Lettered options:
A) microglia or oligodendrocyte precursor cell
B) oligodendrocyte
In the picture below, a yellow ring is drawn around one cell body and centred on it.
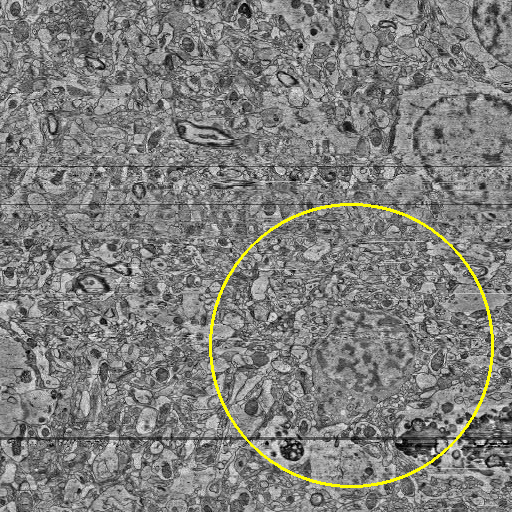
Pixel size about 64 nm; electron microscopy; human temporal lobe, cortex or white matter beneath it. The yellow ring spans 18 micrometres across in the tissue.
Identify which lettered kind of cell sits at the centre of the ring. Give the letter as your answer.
B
